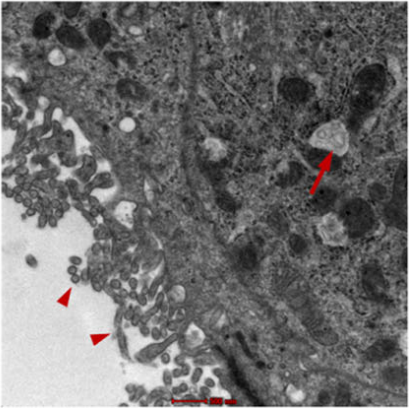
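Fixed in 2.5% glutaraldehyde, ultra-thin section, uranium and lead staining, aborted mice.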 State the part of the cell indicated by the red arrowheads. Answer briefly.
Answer: Microvilli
